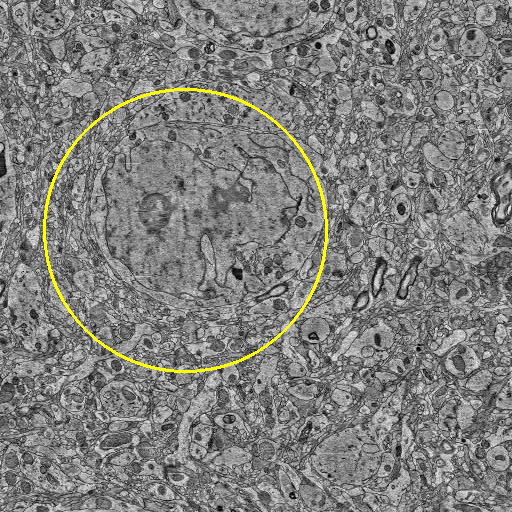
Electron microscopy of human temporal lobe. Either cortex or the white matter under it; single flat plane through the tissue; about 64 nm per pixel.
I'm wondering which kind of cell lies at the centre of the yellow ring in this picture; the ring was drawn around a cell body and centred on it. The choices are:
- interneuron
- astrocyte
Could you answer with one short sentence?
At the centre of the ring lies an interneuron.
